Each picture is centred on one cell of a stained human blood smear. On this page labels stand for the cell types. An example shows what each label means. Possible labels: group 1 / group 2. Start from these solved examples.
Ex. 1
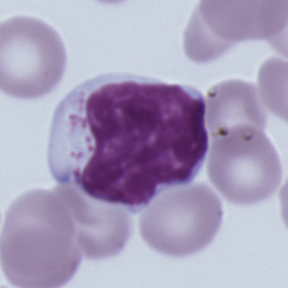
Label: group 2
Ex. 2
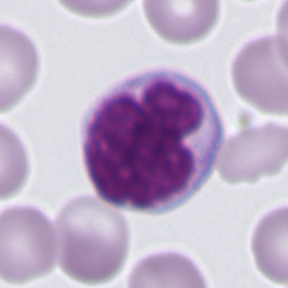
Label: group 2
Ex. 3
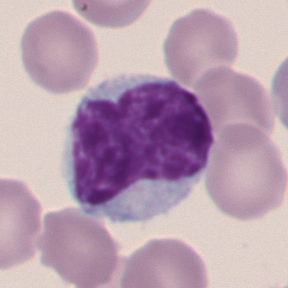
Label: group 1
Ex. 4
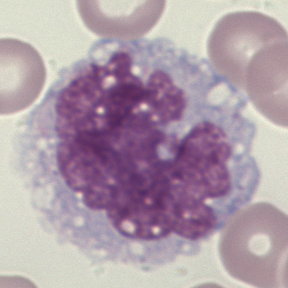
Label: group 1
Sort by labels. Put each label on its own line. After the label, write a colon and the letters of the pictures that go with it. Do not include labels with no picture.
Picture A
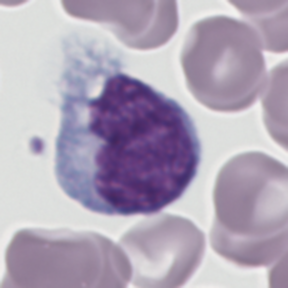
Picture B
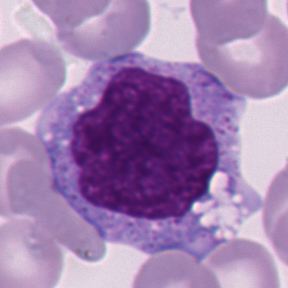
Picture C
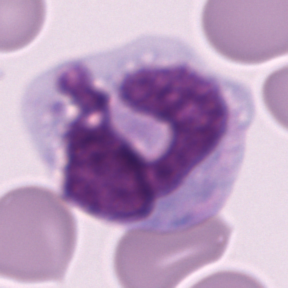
group 1: A, B, C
